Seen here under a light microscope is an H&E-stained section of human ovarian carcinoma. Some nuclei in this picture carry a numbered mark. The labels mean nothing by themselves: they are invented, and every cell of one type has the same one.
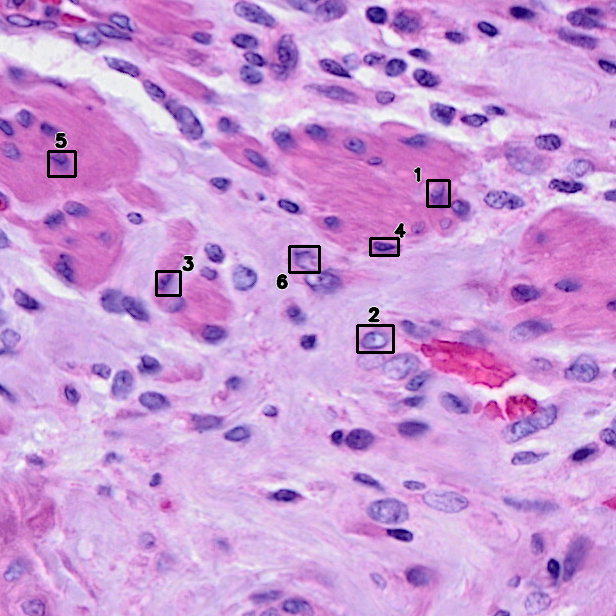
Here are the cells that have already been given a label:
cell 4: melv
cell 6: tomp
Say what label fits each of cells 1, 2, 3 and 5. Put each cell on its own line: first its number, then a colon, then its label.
1: melv
2: tomp
3: melv
5: melv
